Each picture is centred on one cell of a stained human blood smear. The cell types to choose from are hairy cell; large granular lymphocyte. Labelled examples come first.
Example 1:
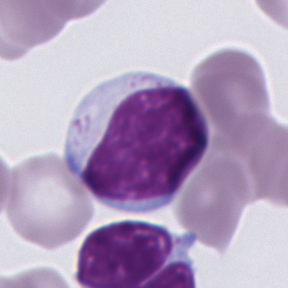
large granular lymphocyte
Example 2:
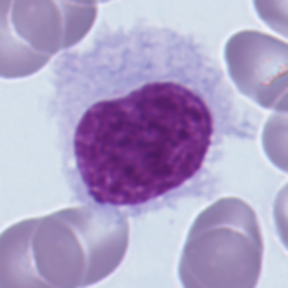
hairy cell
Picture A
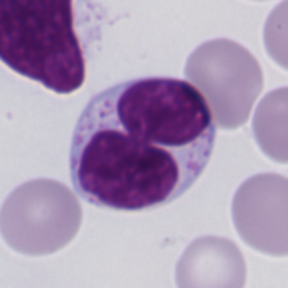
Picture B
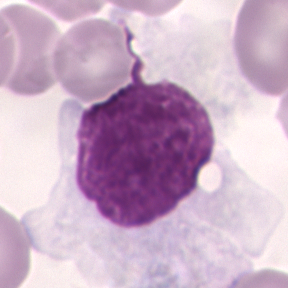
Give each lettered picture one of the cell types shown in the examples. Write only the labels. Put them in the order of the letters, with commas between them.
large granular lymphocyte, hairy cell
